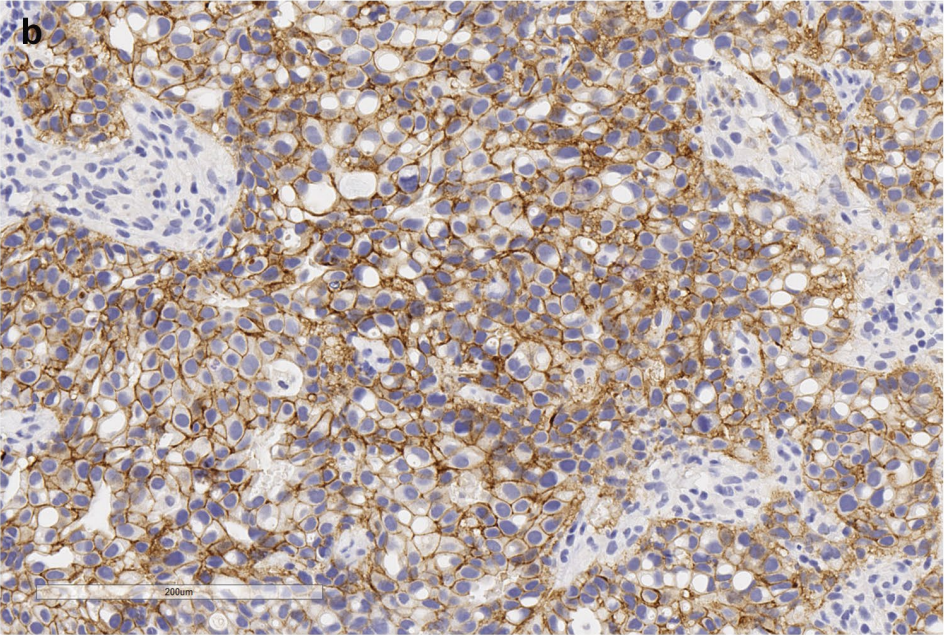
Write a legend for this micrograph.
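The tumor cells have oval to round blue nuclei and pale or clear cytoplasm, many with round vacuole-like clear spaces. The brown deposit lies at the cell edges rather than in the nuclei. Irregular bands of pale fibrous stroma containing elongated spindle-shaped nuclei run between the tumor sheets and remain unstained.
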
